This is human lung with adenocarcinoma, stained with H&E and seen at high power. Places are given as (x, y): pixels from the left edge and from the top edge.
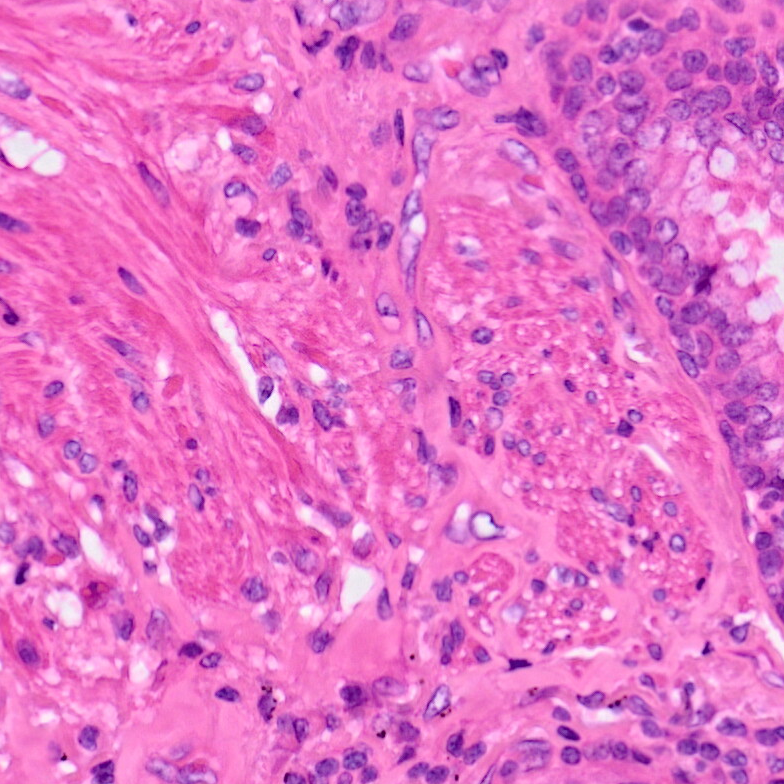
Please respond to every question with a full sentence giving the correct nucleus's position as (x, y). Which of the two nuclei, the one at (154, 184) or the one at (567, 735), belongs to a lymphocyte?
Which one belongs to a lymphocyte? The nucleus at (567, 735) does.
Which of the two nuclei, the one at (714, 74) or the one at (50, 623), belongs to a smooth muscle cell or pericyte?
The nucleus of a smooth muscle cell or pericyte lies at (50, 623), not at the other position.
